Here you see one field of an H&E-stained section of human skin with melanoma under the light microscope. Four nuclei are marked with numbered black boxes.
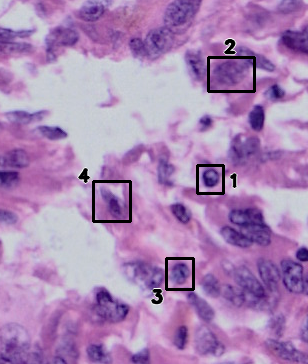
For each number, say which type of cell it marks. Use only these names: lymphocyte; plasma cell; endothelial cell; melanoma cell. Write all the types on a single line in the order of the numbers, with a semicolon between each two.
lymphocyte; melanoma cell; lymphocyte; melanoma cell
